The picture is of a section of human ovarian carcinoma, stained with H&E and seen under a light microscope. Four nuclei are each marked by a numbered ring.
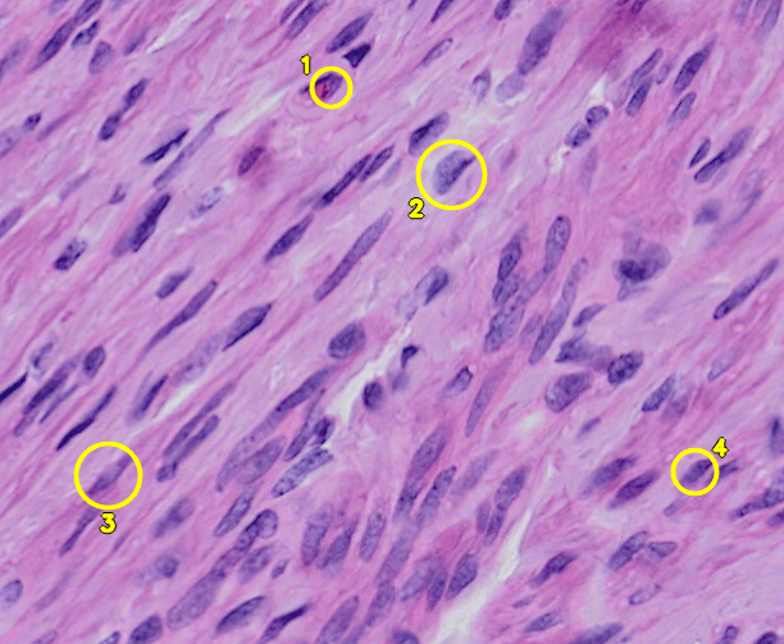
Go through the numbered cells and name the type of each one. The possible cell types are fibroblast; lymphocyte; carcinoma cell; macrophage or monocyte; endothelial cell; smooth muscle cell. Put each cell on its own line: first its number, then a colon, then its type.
1: endothelial cell
2: fibroblast
3: smooth muscle cell
4: smooth muscle cell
